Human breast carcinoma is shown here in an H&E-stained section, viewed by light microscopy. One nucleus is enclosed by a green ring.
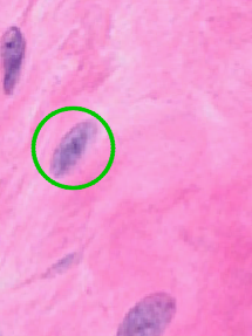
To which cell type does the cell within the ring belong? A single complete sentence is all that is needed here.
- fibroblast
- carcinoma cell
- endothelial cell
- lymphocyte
In this field of tissue, the cell within the ring is a fibroblast.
